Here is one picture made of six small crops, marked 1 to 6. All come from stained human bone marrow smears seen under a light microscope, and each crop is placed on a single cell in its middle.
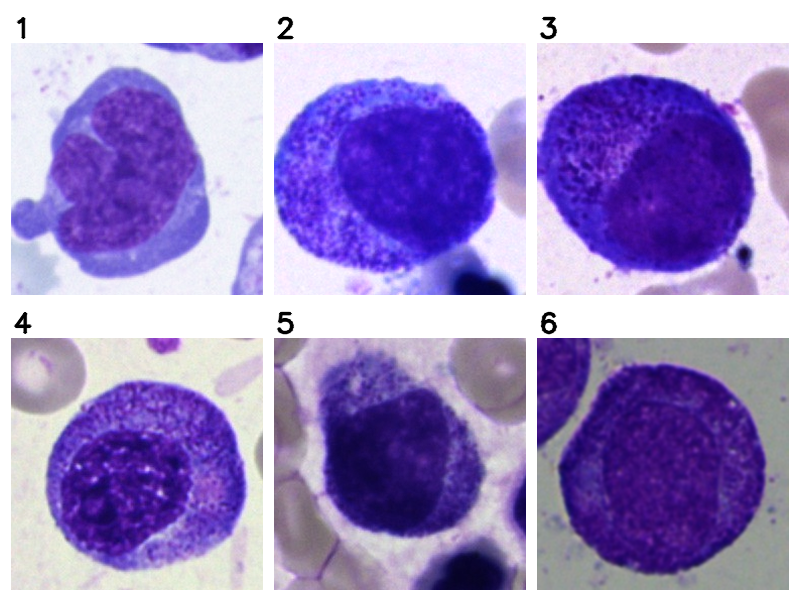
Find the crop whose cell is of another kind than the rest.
1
